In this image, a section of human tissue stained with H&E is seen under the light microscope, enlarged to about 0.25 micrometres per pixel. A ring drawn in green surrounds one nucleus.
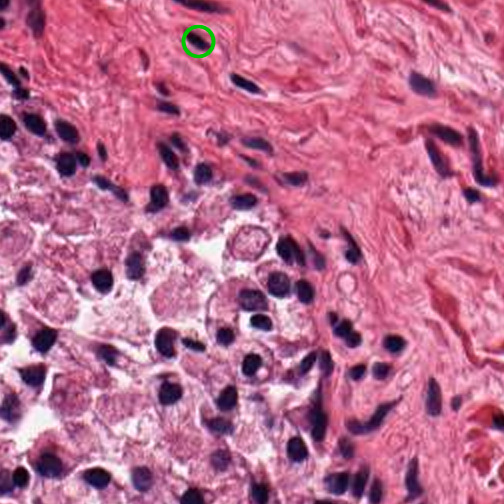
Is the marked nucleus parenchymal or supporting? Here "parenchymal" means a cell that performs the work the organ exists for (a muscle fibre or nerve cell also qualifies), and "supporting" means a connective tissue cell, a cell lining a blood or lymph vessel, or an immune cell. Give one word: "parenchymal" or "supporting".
supporting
